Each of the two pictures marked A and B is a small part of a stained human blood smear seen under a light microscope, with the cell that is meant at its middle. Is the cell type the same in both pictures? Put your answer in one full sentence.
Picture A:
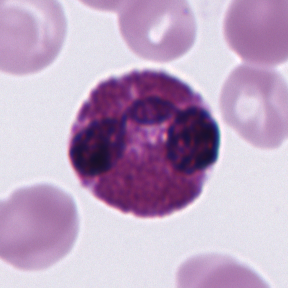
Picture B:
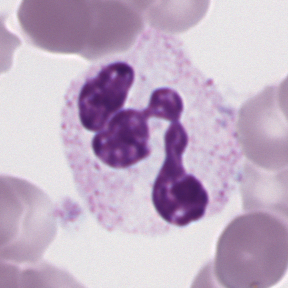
No; the cell in picture A is an eosinophil, while the one in picture B is a segmented neutrophil.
